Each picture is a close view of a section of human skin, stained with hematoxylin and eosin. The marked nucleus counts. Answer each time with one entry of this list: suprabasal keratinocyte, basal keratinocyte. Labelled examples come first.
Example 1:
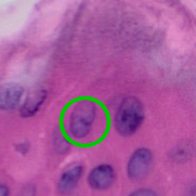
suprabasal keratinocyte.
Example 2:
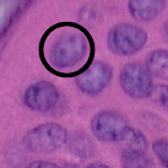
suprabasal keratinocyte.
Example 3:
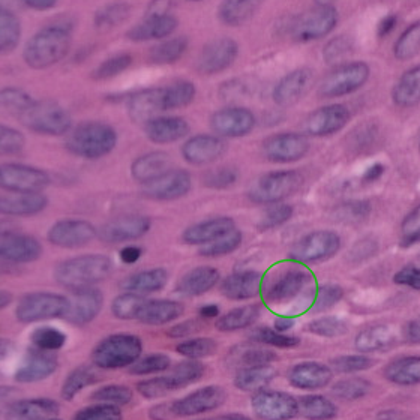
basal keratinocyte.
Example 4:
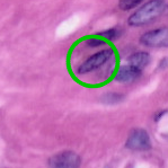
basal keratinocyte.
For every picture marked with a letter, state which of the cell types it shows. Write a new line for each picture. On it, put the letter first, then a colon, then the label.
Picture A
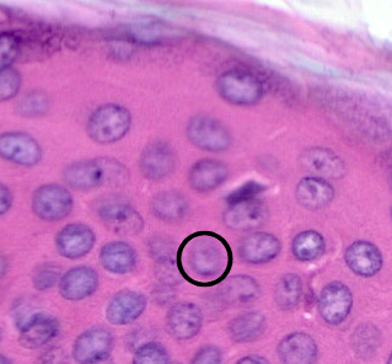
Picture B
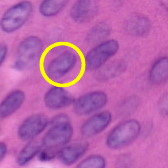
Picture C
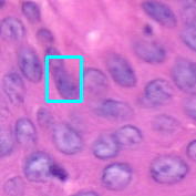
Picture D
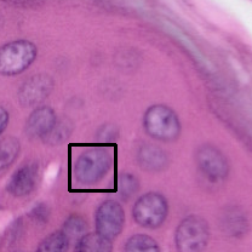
A: suprabasal keratinocyte.
B: suprabasal keratinocyte.
C: basal keratinocyte.
D: suprabasal keratinocyte.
